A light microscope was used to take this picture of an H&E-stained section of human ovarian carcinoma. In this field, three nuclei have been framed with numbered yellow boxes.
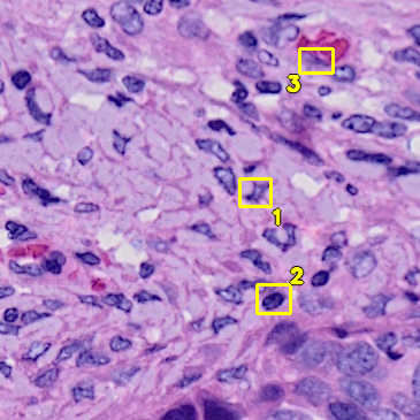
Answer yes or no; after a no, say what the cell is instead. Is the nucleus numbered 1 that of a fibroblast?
Yes.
